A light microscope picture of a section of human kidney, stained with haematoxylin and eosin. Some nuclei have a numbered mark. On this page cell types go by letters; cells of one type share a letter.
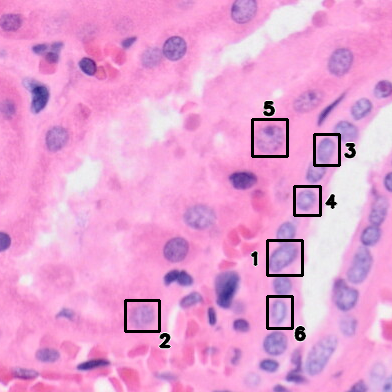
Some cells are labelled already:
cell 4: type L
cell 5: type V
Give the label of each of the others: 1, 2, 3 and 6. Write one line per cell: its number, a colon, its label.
1: type L
2: type V
3: type L
6: type L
